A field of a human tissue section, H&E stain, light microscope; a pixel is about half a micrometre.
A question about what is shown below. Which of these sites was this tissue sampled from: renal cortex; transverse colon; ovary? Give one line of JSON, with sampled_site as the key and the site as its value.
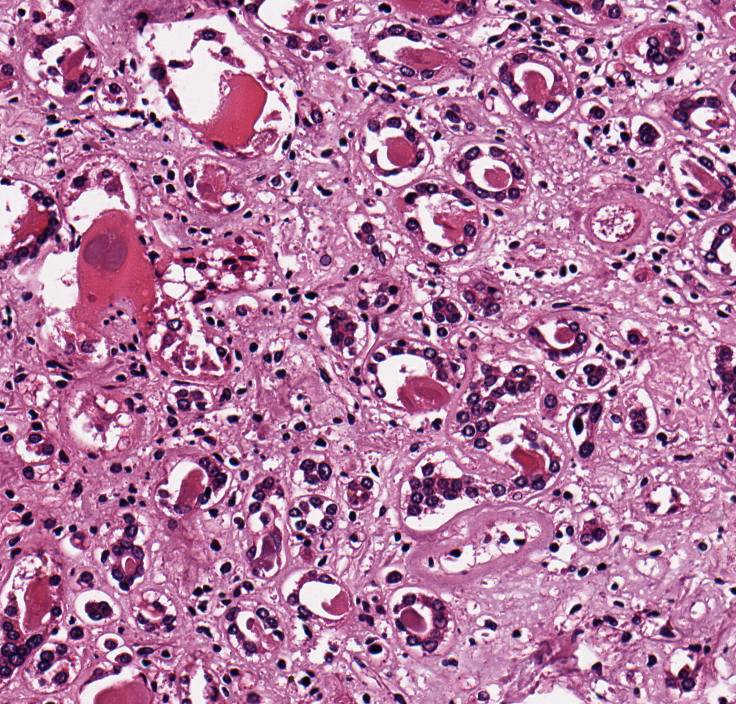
{"sampled_site": "renal cortex"}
